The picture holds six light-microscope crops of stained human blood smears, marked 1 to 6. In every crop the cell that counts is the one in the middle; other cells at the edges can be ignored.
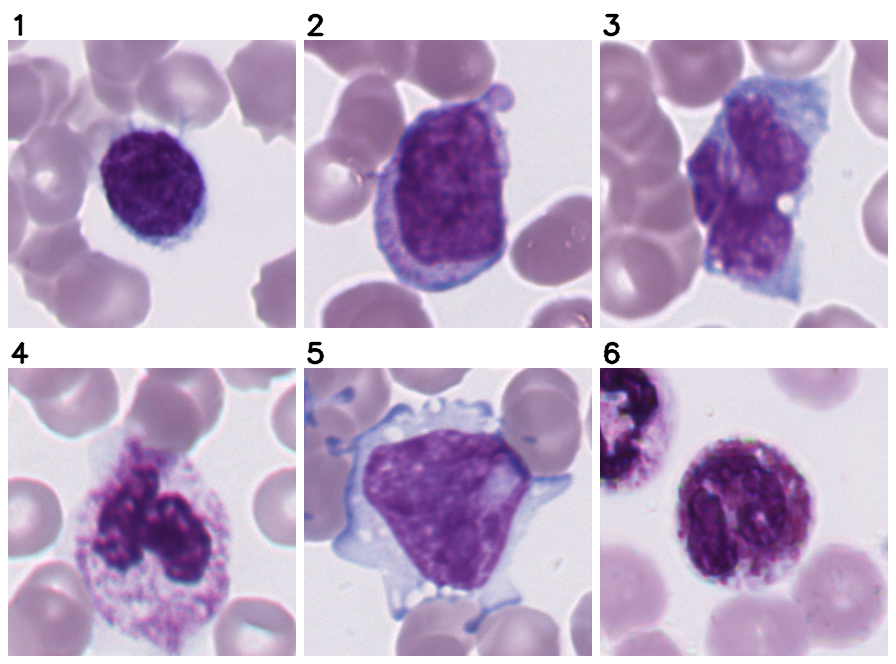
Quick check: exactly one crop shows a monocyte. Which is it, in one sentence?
Among these crops, crop 3 holds a monocyte.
